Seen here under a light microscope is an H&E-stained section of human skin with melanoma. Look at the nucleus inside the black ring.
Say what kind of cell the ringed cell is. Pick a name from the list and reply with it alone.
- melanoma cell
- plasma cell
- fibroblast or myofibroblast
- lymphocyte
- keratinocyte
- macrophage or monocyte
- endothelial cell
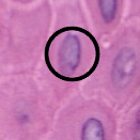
keratinocyte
